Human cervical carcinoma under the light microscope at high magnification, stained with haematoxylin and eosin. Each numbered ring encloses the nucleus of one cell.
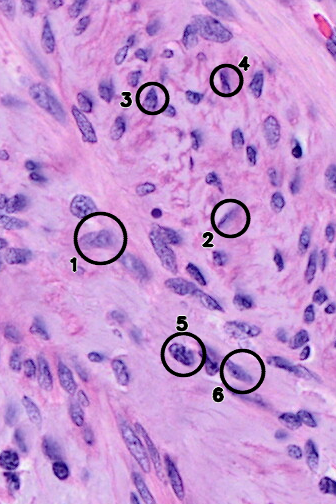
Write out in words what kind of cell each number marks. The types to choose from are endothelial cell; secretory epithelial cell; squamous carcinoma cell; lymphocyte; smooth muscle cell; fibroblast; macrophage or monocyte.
Cell 1 is a smooth muscle cell, cell 2 is a smooth muscle cell, cell 3 is a smooth muscle cell, cell 4 is a smooth muscle cell, cell 5 is a lymphocyte and cell 6 is a fibroblast.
